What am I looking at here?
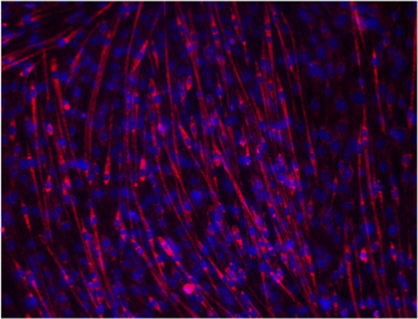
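This is a dense culture of muscle cells with numerous long, thin myotubes stained red, running largely parallel across the field. Many blue oval nuclei are scattered between and along the red fibres. The red fluorescence follows the length of the myotubes as fine lines, with some brighter red spots among the nuclei.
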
